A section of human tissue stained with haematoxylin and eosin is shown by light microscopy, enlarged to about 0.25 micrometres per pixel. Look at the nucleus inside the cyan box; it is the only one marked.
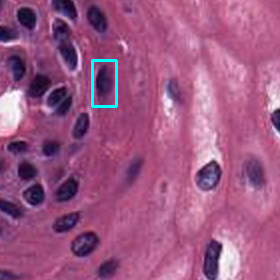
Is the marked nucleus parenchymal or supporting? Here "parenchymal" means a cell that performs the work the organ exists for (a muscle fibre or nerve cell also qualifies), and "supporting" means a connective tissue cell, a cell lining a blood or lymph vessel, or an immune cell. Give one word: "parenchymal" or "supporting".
parenchymal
